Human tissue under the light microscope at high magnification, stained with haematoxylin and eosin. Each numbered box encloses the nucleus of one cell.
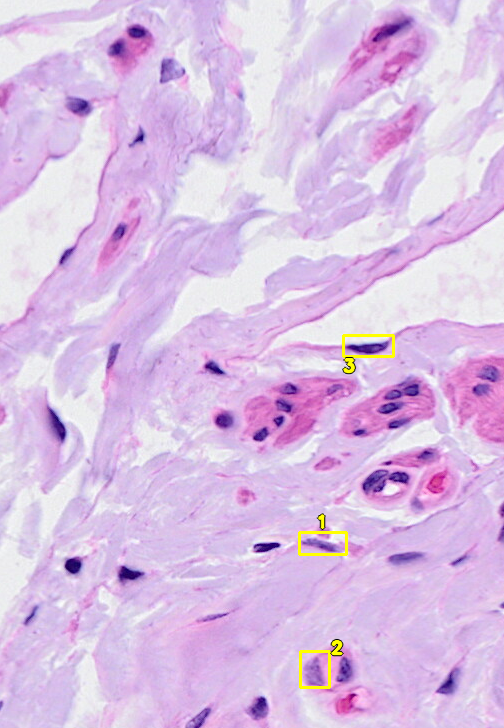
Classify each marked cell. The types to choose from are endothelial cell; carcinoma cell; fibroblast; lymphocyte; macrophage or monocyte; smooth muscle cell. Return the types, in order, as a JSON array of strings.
["fibroblast", "endothelial cell", "endothelial cell"]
